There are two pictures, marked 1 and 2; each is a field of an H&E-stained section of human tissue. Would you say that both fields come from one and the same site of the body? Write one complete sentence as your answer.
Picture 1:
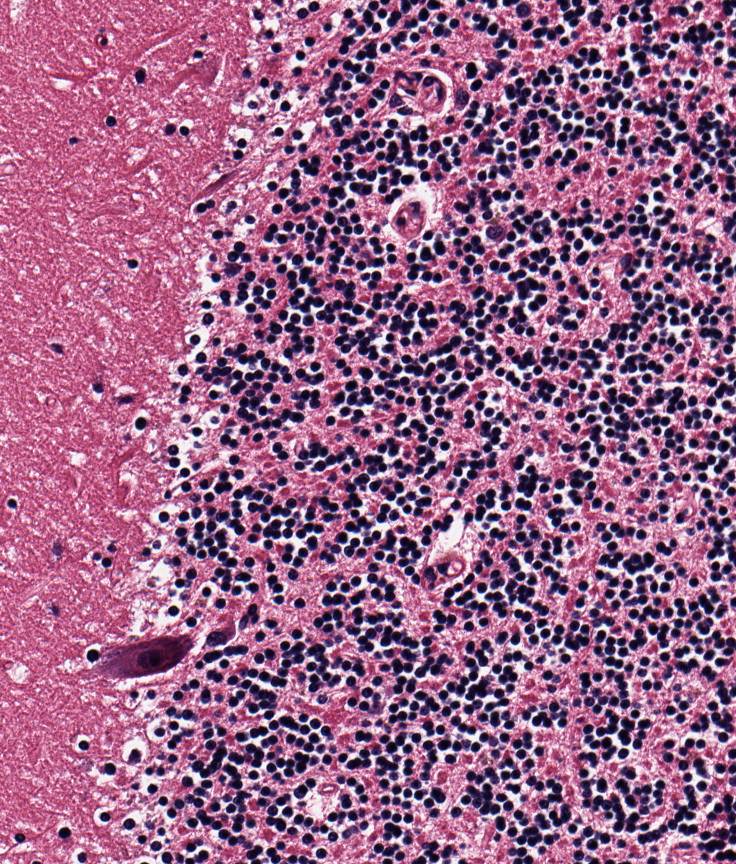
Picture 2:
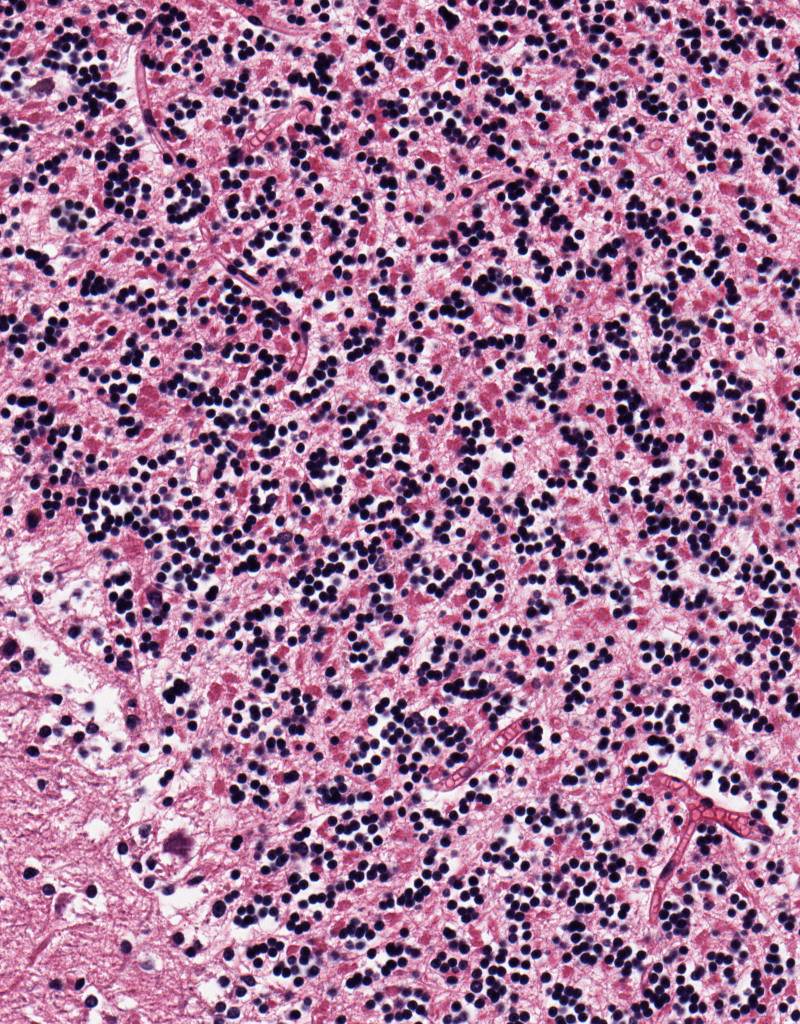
Yes, both come from the cerebellum.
